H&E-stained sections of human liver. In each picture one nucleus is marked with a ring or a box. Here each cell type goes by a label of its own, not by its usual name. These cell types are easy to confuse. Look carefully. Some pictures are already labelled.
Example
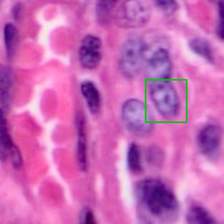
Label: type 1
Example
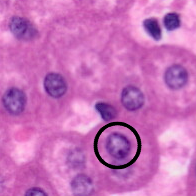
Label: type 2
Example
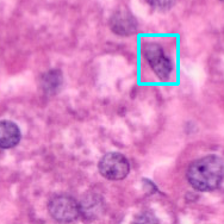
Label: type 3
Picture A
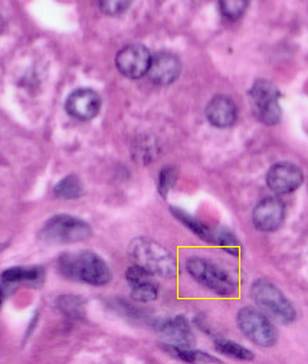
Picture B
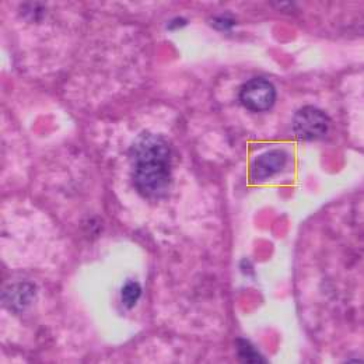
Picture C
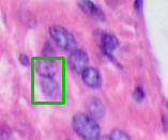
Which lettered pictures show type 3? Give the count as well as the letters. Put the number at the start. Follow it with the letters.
1, namely B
